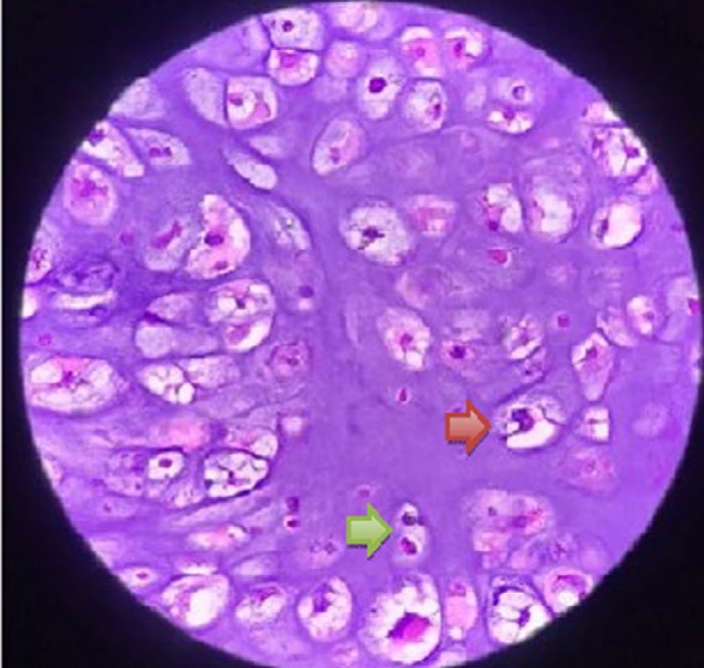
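This high-power view shows tumor chondrocytes lying in lacunae within a purple, glassy cartilage matrix. The lacunae are crowded and vary in size, and many cells have pale, bubbly cytoplasm around a dark, irregular nucleus. Some lacunae hold two nuclei, and scattered cells are enlarged with atypical, dark nuclei, unlike the small, evenly spaced chondrocytes of normal cartilage.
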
